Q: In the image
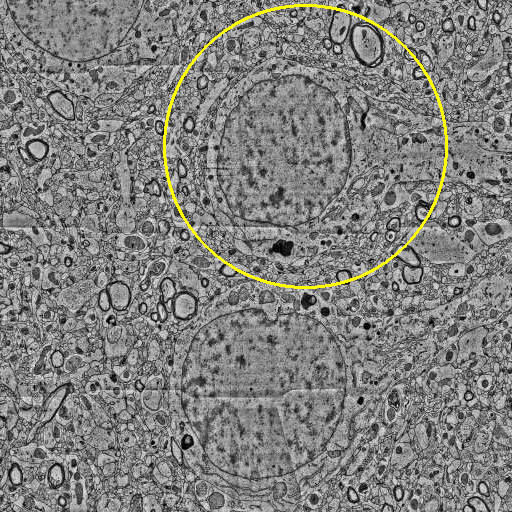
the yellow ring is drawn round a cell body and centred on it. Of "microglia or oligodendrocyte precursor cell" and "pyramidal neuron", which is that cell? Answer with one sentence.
The cell centred in the ring is a pyramidal neuron.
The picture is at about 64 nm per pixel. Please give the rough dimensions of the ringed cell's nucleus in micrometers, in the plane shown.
The nucleus measures about 10 by 9 micrometres in this plane.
